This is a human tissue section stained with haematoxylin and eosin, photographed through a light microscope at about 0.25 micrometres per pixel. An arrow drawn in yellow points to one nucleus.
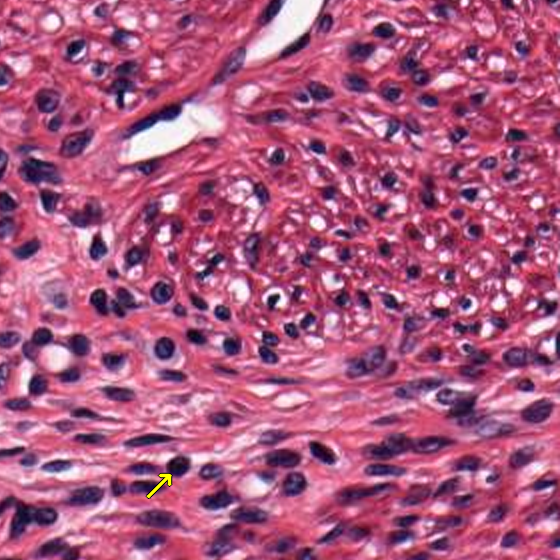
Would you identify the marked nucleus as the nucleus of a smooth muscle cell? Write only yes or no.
no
